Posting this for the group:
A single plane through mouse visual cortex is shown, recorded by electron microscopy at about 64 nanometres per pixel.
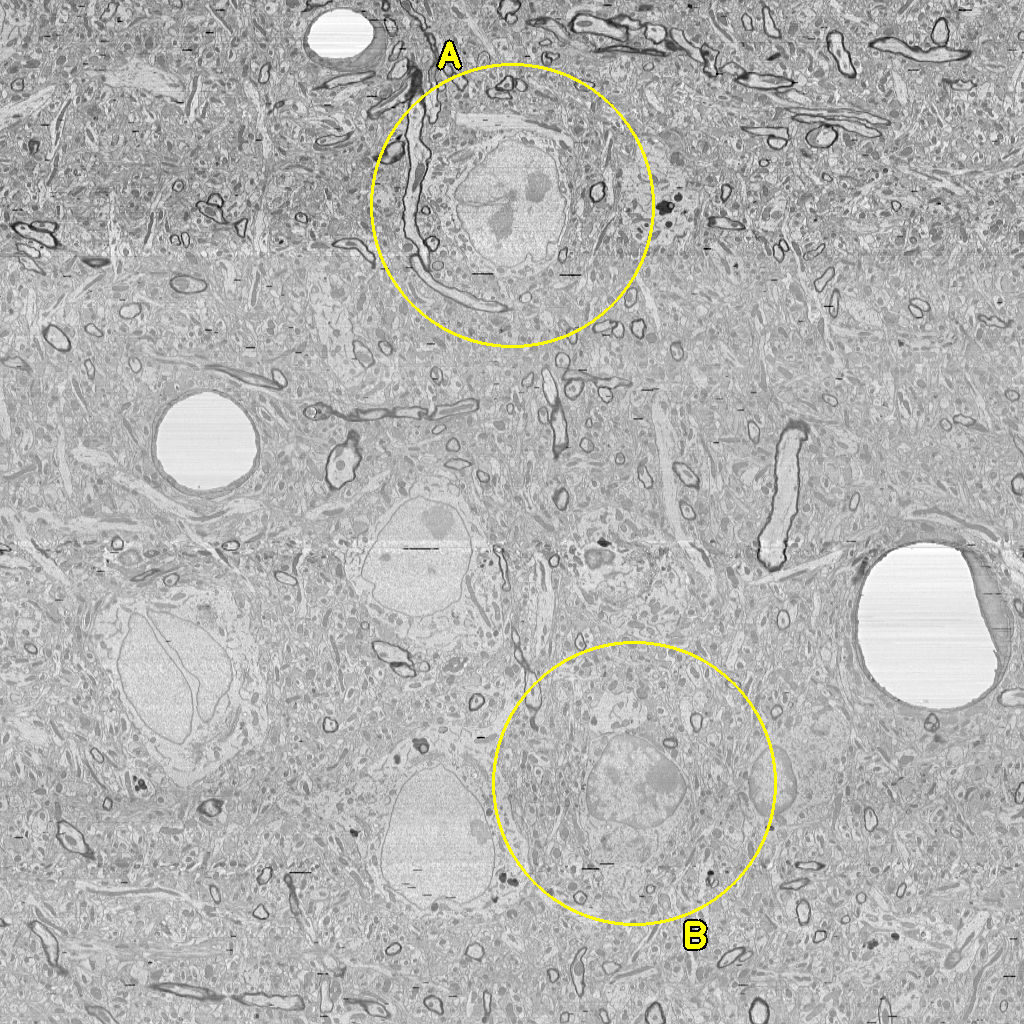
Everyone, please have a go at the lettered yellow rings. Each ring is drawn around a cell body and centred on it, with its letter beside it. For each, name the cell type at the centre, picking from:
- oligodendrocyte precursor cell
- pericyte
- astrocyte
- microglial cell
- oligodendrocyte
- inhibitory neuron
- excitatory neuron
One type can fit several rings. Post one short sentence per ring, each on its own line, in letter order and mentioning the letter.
My call for ring A is an inhibitory neuron.
My call for ring B is an oligodendrocyte.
